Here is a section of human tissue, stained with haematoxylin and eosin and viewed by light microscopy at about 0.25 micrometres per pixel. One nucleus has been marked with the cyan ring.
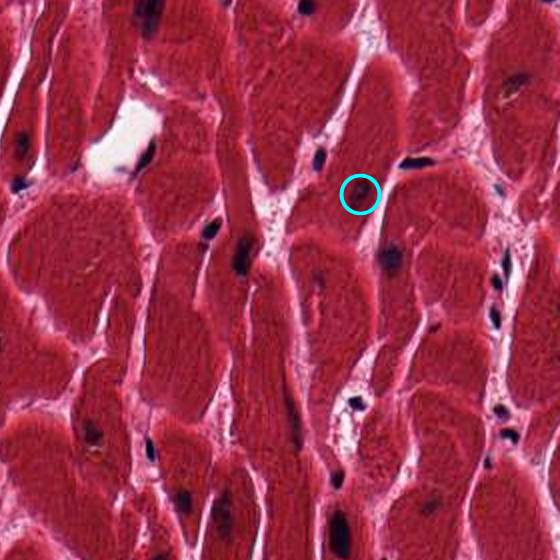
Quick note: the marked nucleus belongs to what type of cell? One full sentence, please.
The marked nucleus is found in a cardiomyocyte.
